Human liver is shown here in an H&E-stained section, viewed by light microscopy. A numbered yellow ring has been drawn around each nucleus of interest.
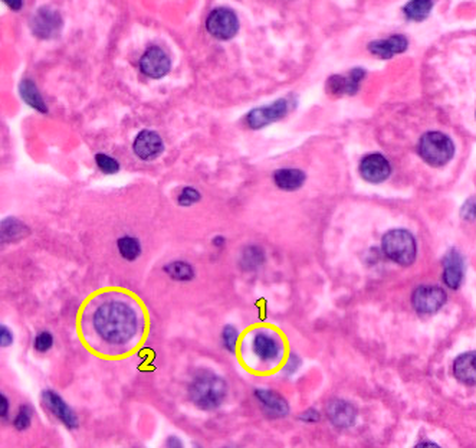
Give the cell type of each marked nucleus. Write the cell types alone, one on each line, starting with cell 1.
lymphocyte
hepatocyte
